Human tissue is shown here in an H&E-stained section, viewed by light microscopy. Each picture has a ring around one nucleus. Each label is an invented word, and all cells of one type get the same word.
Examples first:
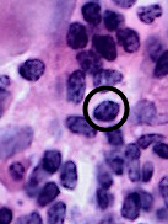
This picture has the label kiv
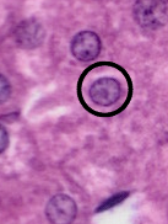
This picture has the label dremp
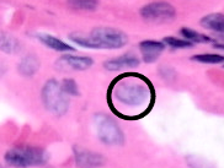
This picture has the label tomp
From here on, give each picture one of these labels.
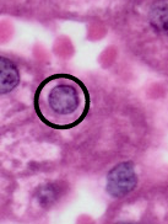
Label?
dremp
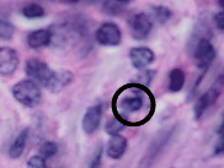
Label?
kiv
